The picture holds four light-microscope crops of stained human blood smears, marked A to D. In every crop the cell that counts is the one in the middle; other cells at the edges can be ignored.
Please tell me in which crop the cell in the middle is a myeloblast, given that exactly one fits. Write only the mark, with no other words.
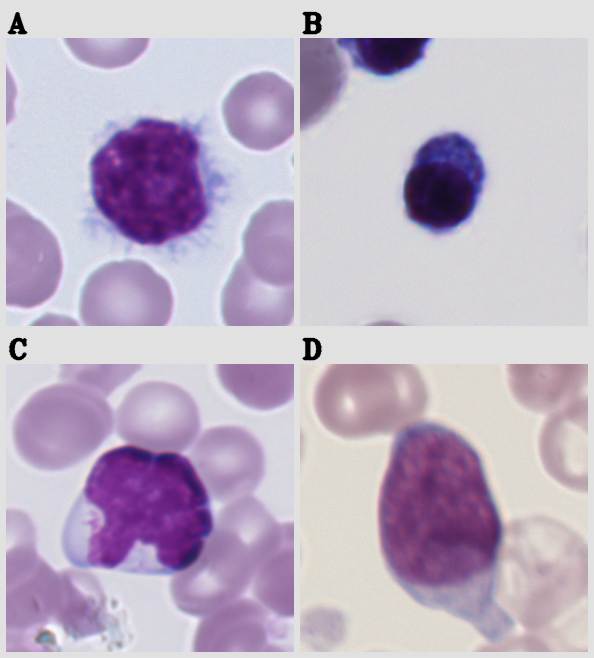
D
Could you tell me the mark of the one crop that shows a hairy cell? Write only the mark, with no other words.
A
